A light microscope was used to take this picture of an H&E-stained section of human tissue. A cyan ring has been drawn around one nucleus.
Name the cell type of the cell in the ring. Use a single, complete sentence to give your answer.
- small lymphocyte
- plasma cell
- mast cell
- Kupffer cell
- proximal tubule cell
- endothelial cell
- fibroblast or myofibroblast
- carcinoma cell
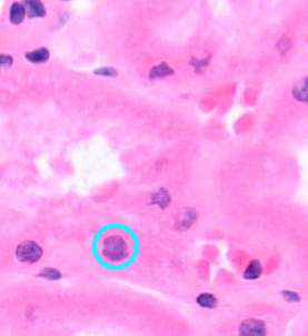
As classified here, the cell in the ring is a proximal tubule cell.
